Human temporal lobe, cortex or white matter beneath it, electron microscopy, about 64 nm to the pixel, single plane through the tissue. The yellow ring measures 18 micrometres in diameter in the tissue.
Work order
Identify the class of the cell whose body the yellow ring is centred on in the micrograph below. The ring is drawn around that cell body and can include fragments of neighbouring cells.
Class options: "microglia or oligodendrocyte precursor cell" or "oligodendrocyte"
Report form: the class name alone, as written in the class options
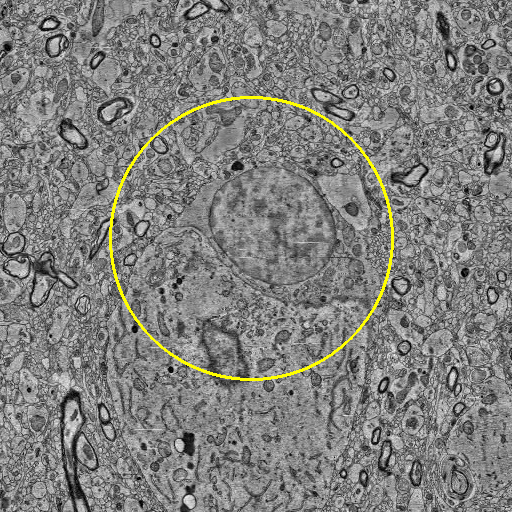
oligodendrocyte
